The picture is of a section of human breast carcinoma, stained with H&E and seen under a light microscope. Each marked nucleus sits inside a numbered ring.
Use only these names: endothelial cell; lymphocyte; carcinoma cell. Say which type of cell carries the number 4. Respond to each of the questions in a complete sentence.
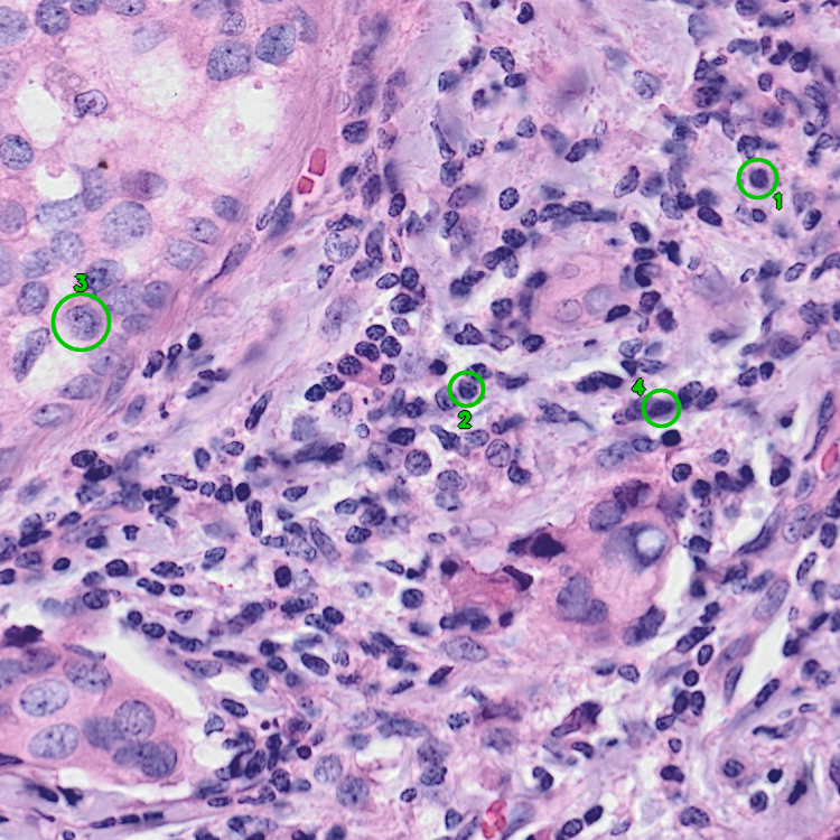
The cell referred to as 4 is a lymphocyte.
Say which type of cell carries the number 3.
The numbered cell 3 in this field is a carcinoma cell.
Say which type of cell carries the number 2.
The cell indicated by marker 2 is a lymphocyte in this section.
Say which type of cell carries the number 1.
The one numbered 1 among the marked cells is a lymphocyte.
